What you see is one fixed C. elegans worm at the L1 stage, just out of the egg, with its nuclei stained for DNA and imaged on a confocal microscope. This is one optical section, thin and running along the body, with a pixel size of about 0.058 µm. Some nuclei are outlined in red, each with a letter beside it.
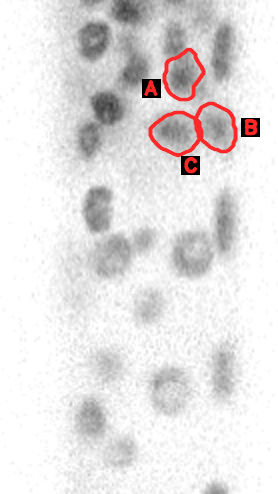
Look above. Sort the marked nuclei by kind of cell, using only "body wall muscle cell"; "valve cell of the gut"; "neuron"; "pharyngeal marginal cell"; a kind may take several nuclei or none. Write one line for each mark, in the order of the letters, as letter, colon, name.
A: pharyngeal marginal cell
B: body wall muscle cell
C: valve cell of the gut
